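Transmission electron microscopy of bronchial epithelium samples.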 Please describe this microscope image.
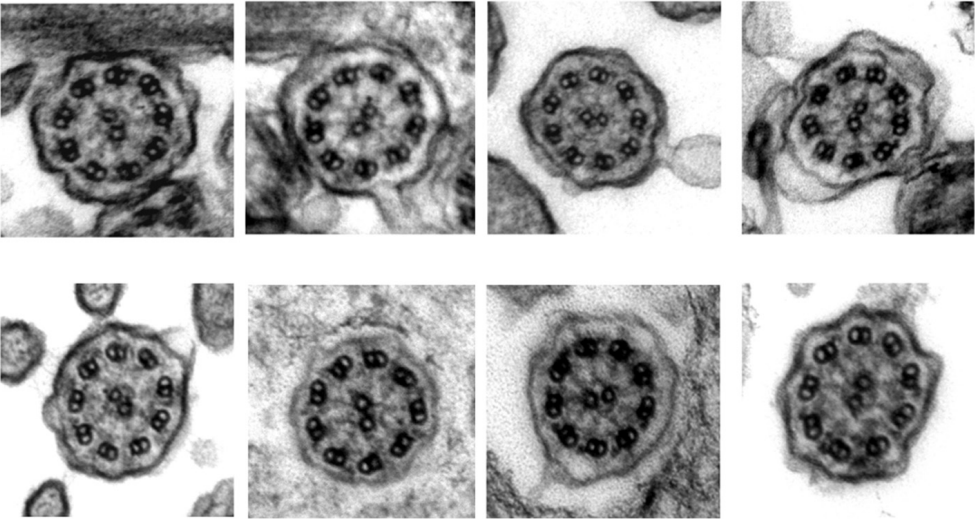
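Eight separate cross-sections each show a small round profile bounded by a membrane. Inside each one, nine doublet microtubules form a ring around a central pair of single microtubules.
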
